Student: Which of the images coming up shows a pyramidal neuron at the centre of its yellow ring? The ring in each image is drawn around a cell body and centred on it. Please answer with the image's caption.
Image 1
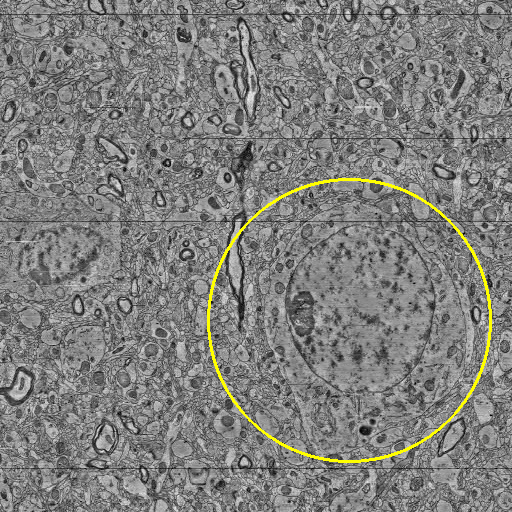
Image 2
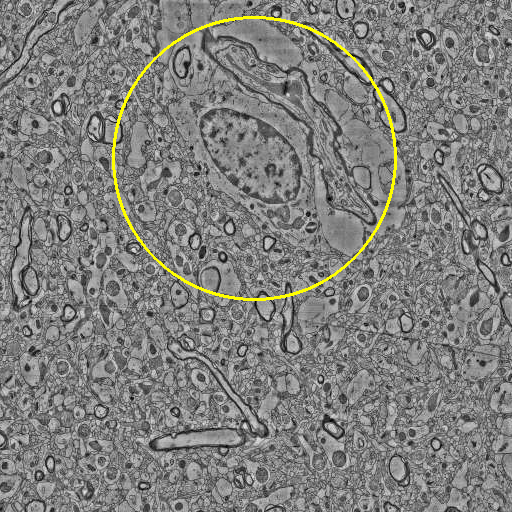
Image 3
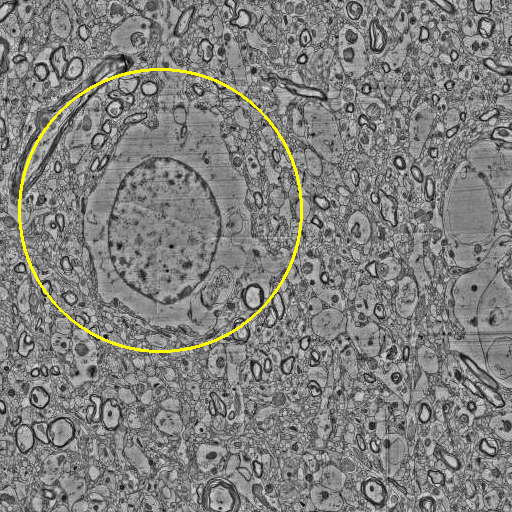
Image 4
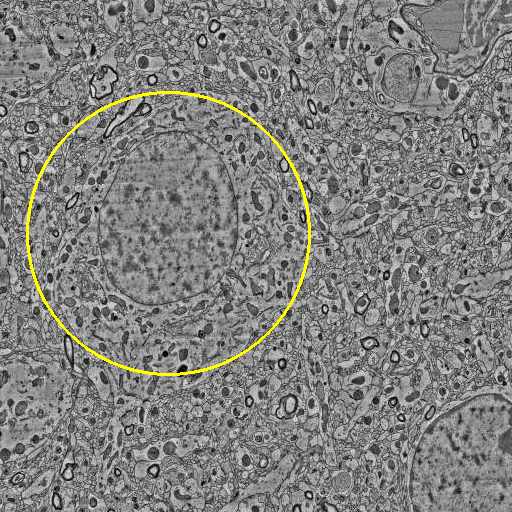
Image 1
